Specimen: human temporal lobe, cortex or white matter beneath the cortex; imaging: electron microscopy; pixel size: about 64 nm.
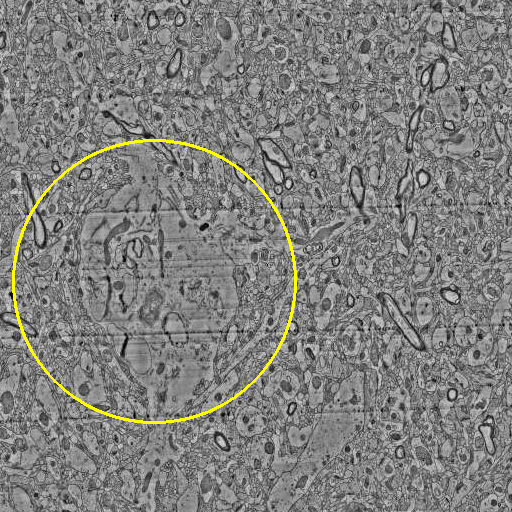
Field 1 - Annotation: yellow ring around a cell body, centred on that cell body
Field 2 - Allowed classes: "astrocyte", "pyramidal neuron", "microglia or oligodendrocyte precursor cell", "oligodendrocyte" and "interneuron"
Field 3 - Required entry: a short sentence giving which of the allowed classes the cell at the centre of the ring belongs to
The centred cell is an astrocyte.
